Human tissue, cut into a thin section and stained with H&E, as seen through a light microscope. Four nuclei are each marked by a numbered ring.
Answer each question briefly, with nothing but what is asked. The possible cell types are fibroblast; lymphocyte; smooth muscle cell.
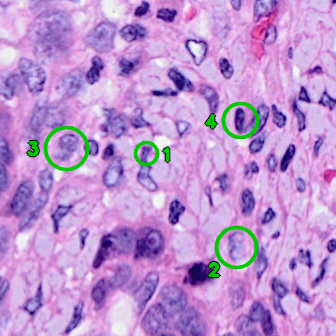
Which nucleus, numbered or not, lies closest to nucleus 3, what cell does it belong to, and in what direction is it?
a lymphocyte, to the right of nucleus 3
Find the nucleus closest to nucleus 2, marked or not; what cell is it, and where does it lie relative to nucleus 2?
a fibroblast, below and to the right of nucleus 2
